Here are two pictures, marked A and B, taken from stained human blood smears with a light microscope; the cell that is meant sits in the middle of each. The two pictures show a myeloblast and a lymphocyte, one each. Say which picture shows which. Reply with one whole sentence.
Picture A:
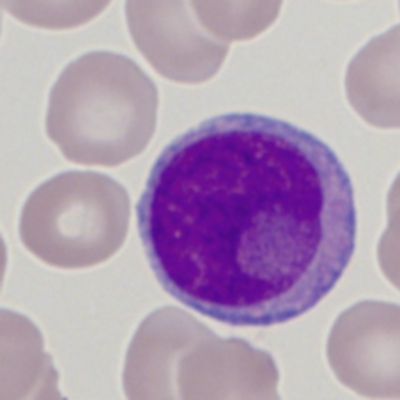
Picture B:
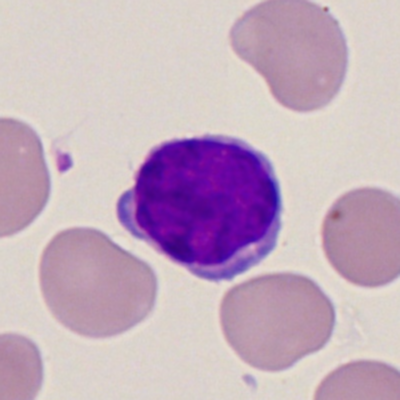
Picture A is of a myeloblast, and picture B is of a lymphocyte.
